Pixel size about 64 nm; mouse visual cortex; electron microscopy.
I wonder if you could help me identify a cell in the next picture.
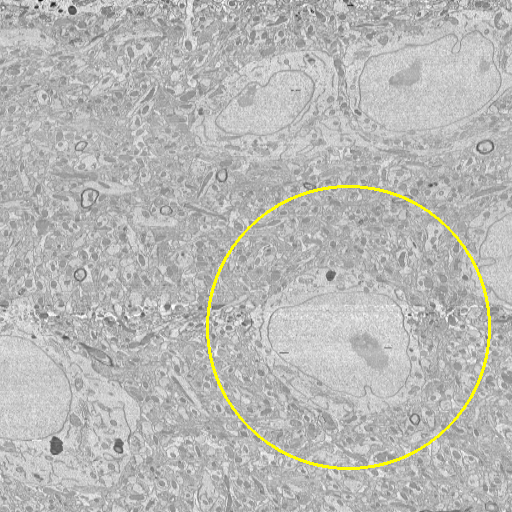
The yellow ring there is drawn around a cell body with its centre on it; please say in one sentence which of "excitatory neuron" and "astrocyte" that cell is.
The yellow ring is centred on an excitatory neuron.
